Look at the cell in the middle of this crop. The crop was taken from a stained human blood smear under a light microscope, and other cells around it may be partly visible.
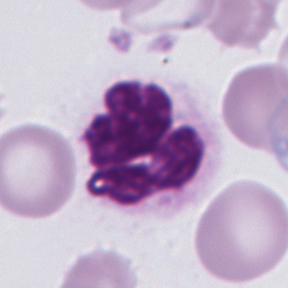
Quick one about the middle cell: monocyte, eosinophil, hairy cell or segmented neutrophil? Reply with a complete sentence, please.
Present in the middle of the crop is a segmented neutrophil.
